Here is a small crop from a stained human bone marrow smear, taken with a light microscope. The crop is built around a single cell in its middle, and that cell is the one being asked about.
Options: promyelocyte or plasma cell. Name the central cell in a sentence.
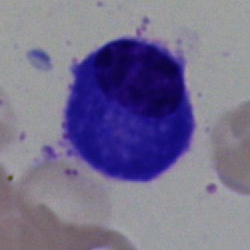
The middle of this crop is occupied by a plasma cell.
